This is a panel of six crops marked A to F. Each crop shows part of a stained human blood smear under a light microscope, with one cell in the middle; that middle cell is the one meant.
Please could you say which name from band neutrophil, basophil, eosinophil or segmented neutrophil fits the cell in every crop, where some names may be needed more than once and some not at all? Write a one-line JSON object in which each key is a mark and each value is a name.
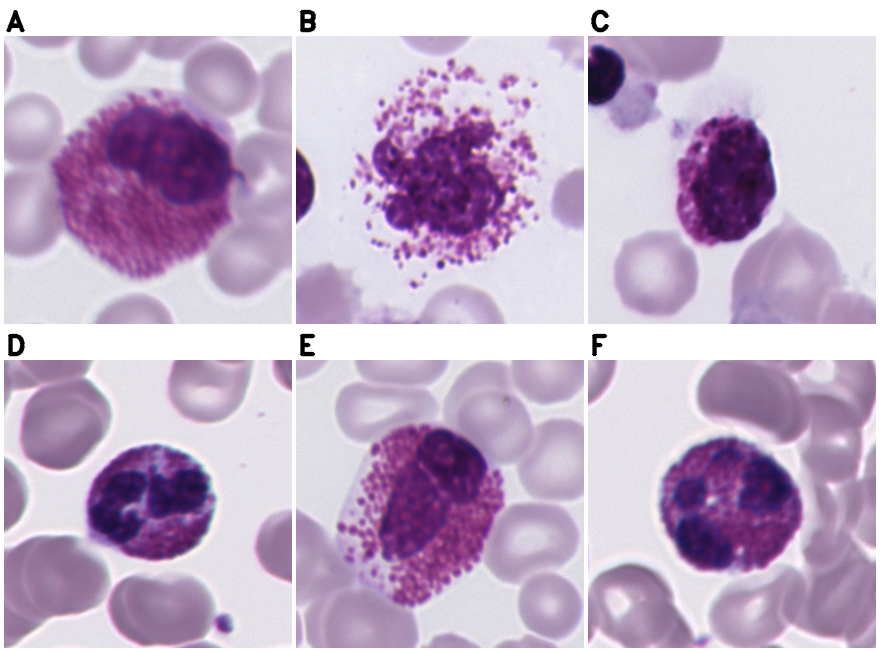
{"A": "eosinophil", "B": "basophil", "C": "basophil", "D": "eosinophil", "E": "eosinophil", "F": "eosinophil"}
